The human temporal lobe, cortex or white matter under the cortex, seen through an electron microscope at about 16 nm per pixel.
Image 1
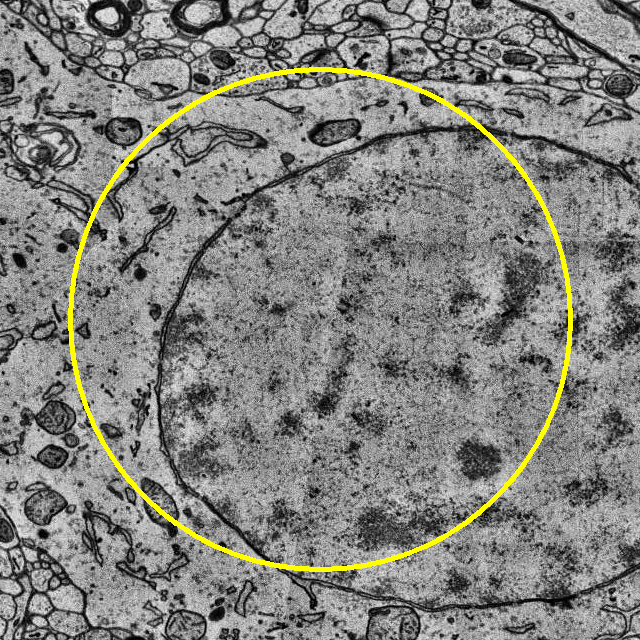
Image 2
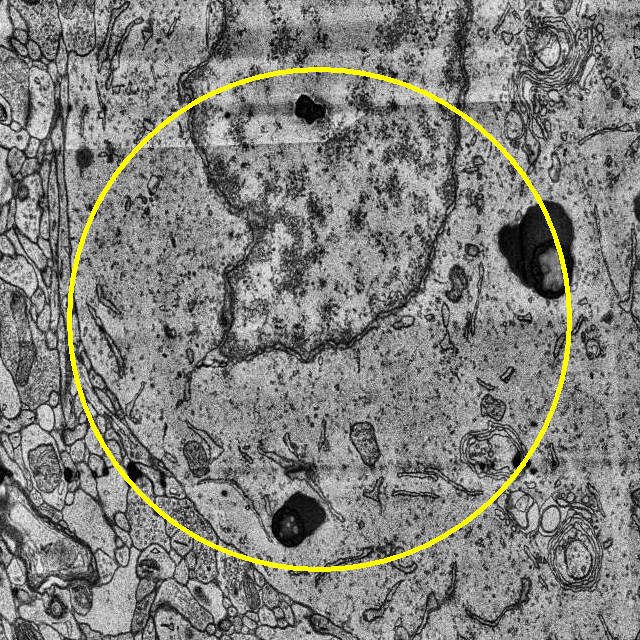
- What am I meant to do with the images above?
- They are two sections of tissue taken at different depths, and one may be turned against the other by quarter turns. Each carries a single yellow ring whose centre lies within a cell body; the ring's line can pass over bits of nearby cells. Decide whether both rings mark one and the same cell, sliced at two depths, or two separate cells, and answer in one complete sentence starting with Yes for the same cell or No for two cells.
No, the rings mark two cells rather than a single cell.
